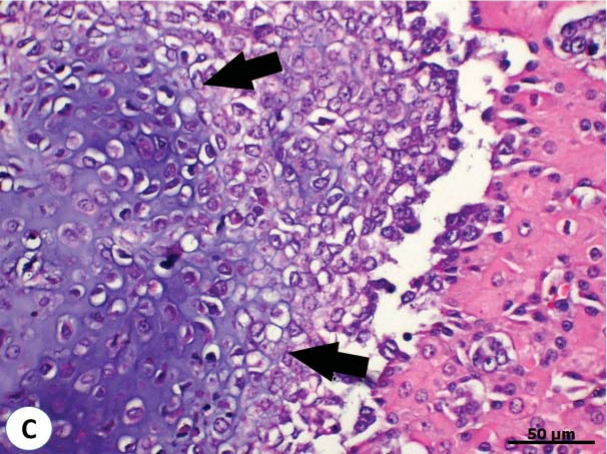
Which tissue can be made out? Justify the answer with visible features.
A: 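Hyaline cartilage. Left side has a pale bluish-purple homogeneous matrix. Rounded cells sit in clear lacunae within the matrix.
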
